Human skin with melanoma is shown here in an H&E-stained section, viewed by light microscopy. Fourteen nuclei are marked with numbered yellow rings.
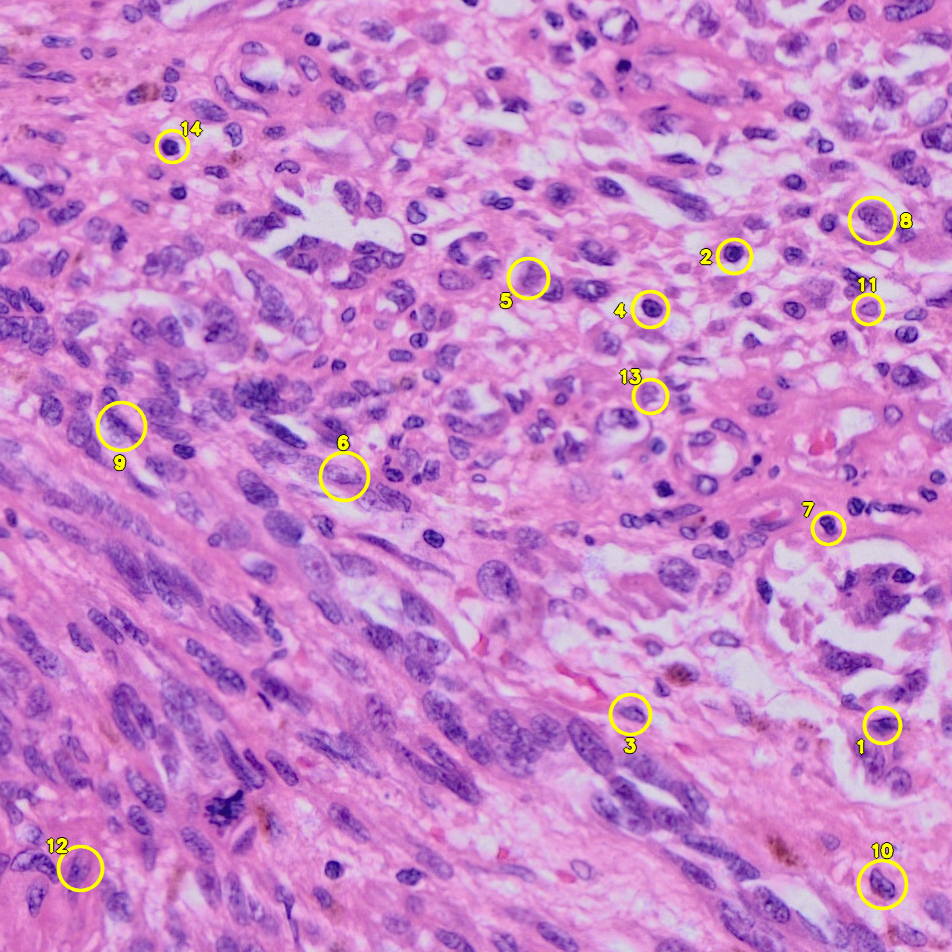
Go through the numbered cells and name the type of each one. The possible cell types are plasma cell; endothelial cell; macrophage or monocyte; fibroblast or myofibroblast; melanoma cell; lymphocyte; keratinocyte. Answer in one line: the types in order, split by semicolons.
macrophage or monocyte; lymphocyte; macrophage or monocyte; lymphocyte; melanoma cell; melanoma cell; lymphocyte; melanoma cell; melanoma cell; macrophage or monocyte; macrophage or monocyte; endothelial cell; melanoma cell; lymphocyte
